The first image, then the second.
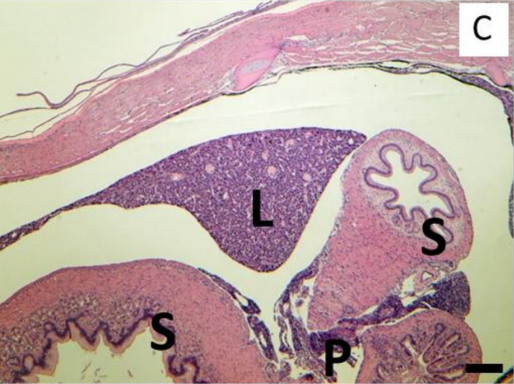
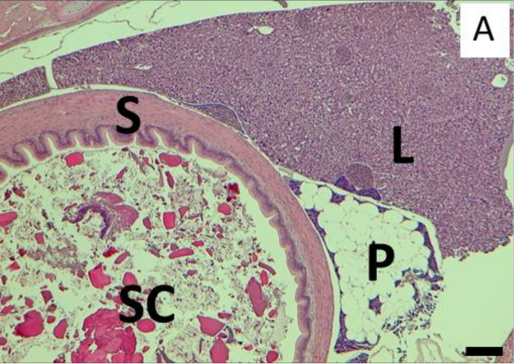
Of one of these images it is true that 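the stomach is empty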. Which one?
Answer: the first image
